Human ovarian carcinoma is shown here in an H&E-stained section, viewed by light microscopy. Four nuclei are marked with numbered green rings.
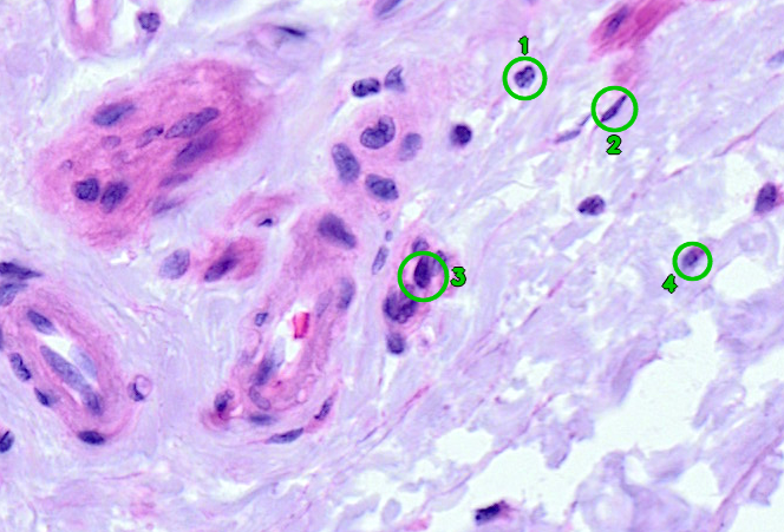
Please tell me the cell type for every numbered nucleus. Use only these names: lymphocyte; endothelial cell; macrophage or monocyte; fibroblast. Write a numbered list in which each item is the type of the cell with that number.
1. lymphocyte
2. fibroblast
3. endothelial cell
4. fibroblast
